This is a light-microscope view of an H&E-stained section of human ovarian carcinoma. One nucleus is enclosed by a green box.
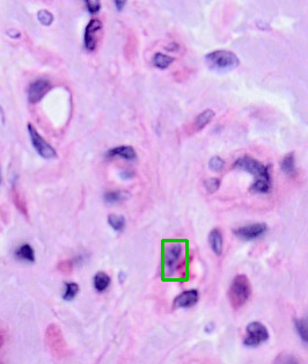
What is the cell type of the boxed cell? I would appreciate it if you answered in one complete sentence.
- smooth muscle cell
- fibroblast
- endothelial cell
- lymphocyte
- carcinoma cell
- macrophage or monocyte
The cell type represented by the boxed cell is that of an endothelial cell.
